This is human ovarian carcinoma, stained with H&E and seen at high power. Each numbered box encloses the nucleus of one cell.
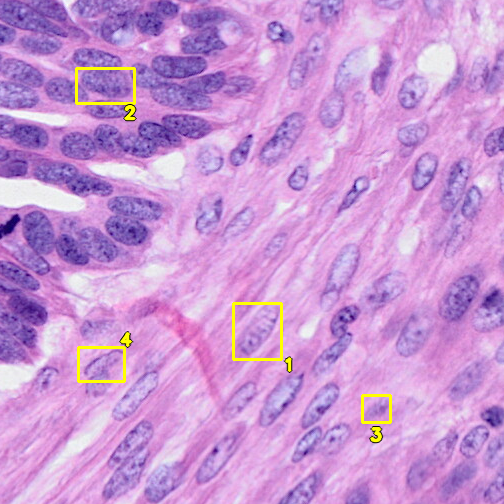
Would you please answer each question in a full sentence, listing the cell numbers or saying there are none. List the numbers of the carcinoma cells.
The nucleus numbered 2 is the only one that belongs to a carcinoma cell.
